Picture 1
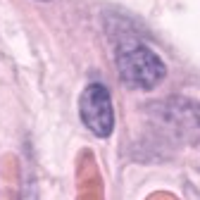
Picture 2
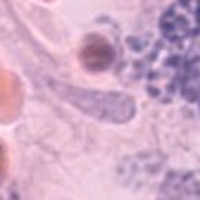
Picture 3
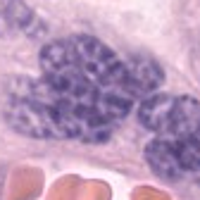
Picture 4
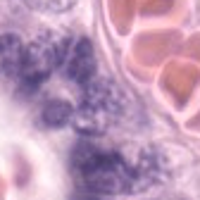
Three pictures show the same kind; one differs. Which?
Picture 3: a syncytial knot, while the others are cytotrophoblasts.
